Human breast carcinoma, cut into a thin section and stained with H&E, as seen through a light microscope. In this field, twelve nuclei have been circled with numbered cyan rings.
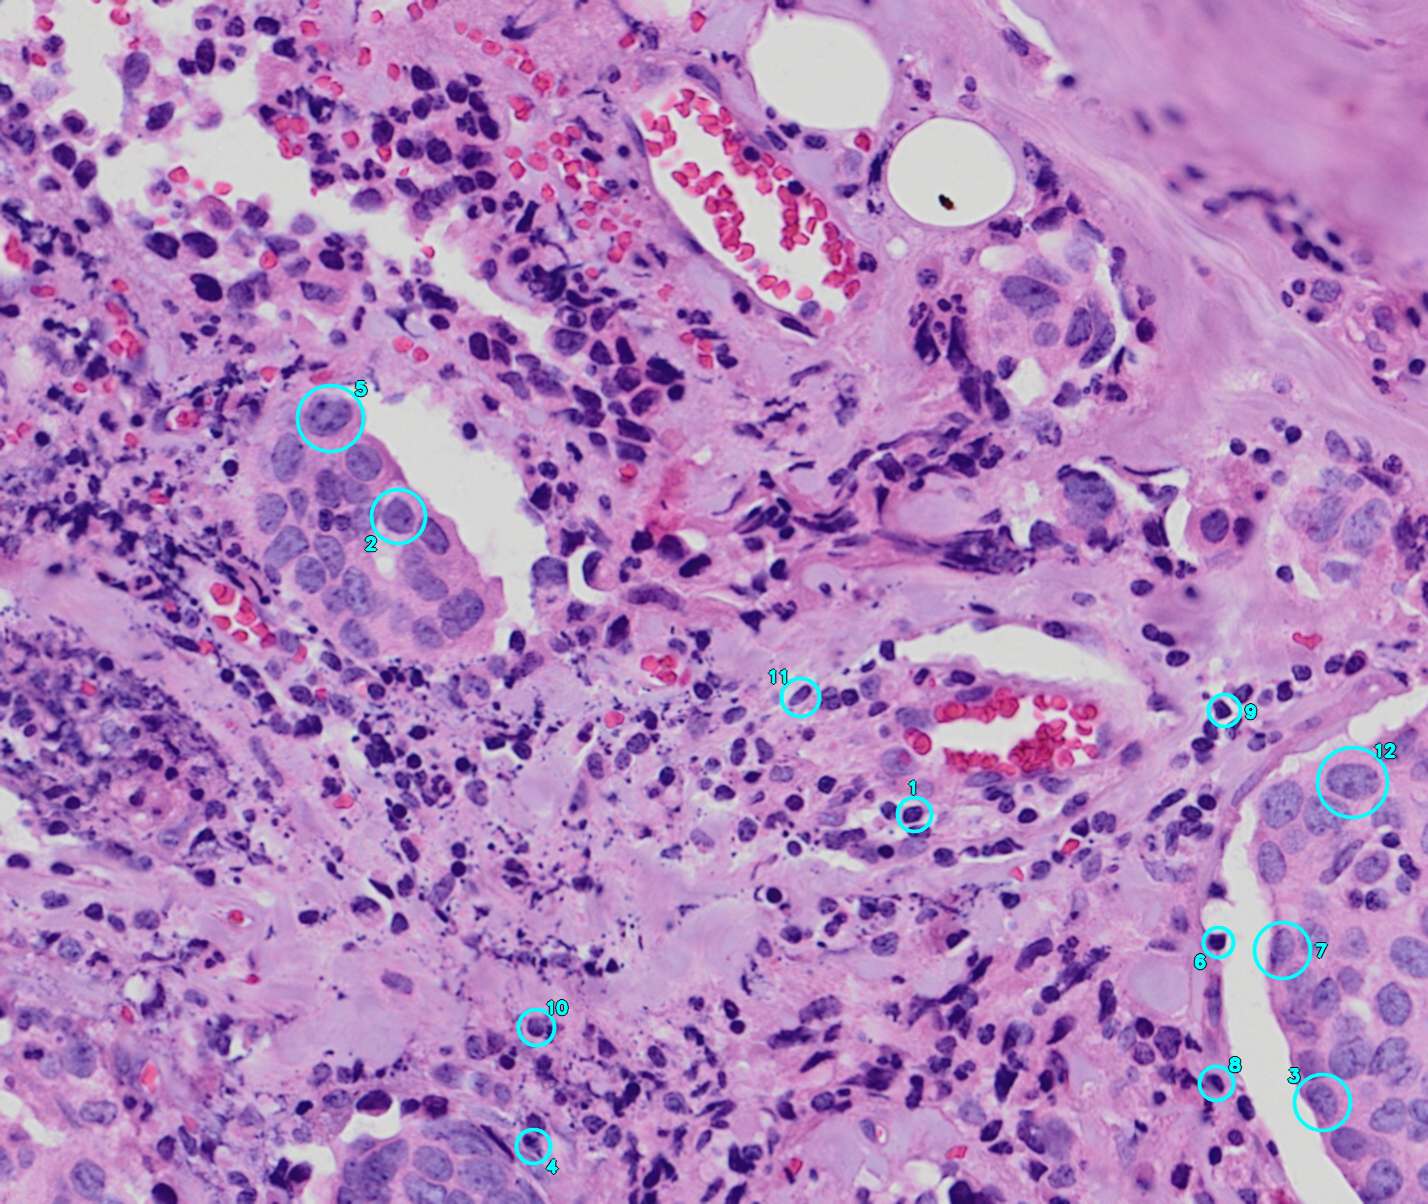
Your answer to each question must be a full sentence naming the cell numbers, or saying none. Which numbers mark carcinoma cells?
The cells tagged 2, 3, 5, 7 and 12 are carcinoma cells in this tissue section.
